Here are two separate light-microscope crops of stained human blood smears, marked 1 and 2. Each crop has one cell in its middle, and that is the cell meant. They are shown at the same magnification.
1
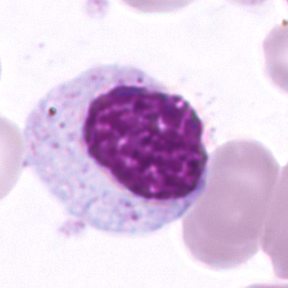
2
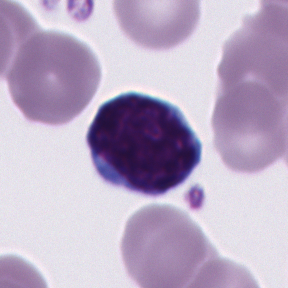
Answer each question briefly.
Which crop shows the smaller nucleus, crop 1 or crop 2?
2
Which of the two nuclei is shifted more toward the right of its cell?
1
